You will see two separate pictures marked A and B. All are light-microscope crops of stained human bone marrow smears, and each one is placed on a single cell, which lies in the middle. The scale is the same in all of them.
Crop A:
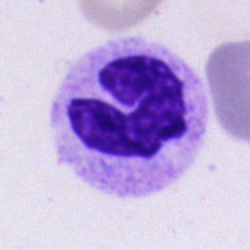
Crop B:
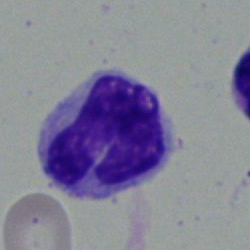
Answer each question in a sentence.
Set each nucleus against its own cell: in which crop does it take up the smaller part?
The nucleus fills less of the cell in crop A than in crop B.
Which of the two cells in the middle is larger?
Crop A holds the larger cell; it covers about 1.5 times the area of the cell in crop B.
